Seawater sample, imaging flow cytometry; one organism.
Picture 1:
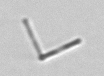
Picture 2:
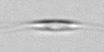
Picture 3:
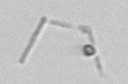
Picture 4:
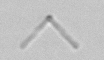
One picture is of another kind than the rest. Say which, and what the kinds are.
Picture 2 shows Cylindrotheca; the rest show Nanoneis.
